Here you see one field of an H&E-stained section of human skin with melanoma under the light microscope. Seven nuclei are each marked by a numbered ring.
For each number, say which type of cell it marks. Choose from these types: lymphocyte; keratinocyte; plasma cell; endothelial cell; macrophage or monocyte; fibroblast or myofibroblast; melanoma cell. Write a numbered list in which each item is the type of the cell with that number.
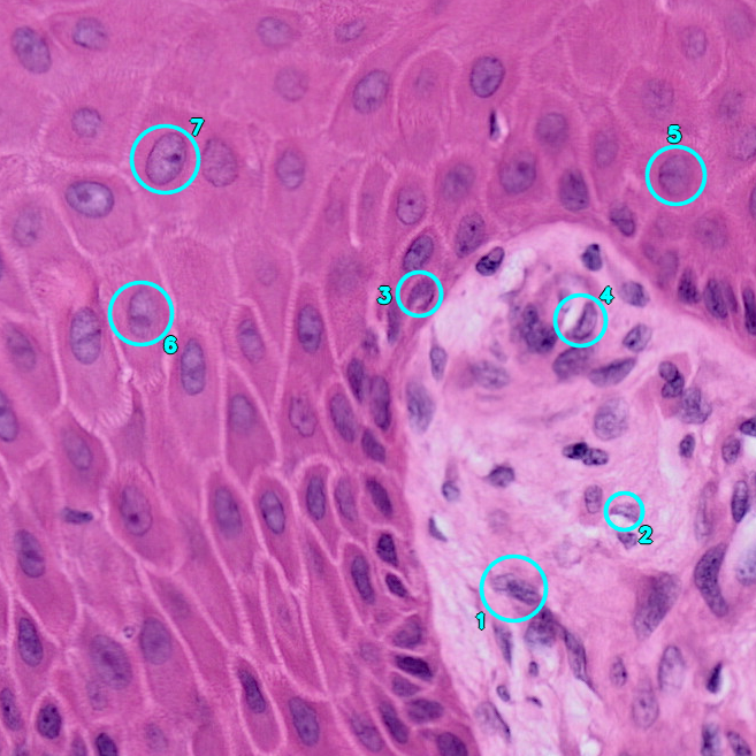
1. fibroblast or myofibroblast
2. fibroblast or myofibroblast
3. keratinocyte
4. endothelial cell
5. keratinocyte
6. keratinocyte
7. keratinocyte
